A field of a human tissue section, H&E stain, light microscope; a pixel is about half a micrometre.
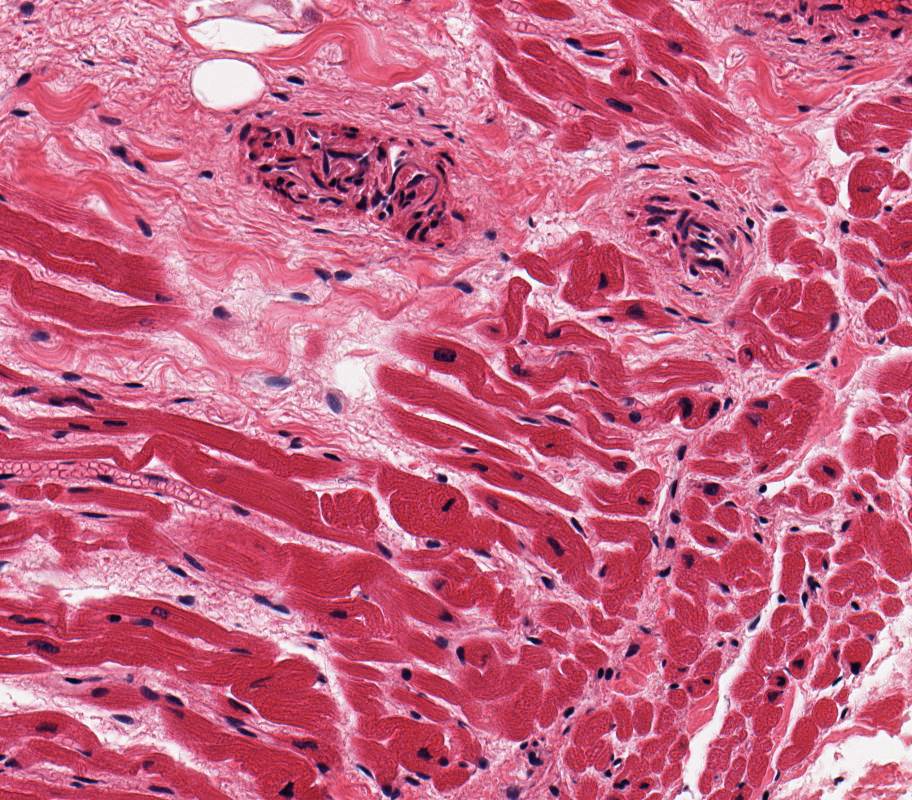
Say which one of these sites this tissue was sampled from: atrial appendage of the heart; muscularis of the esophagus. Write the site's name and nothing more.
atrial appendage of the heart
